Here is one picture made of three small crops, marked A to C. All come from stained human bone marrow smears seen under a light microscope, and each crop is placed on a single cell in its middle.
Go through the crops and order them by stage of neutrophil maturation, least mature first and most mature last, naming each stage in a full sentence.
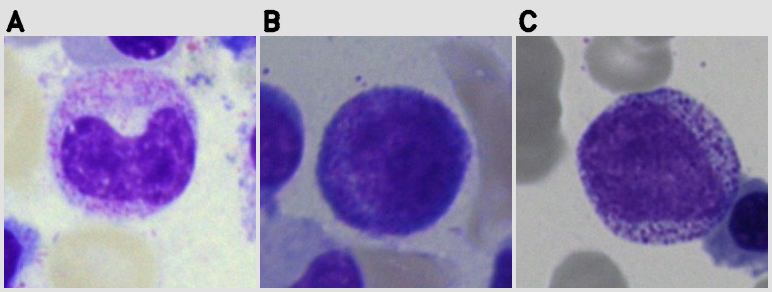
Across the crops, maturity increases in the order crop B (a promyelocyte), crop C (a myelocyte) and crop A (a metamyelocyte).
